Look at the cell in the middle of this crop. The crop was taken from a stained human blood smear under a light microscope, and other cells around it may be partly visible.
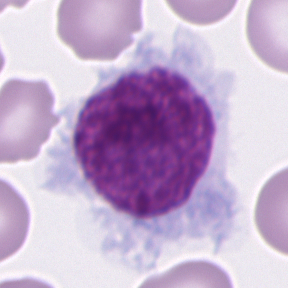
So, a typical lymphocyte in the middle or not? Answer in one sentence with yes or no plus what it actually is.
No, calling it a typical lymphocyte is wrong; the middle cell is a hairy cell.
